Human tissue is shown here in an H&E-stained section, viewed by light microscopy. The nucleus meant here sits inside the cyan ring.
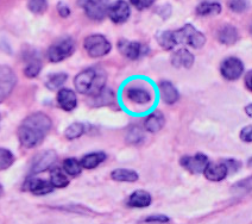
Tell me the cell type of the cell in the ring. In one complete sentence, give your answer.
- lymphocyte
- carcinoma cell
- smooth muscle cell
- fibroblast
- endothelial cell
Considered by cell type, the cell in the ring is a lymphocyte.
